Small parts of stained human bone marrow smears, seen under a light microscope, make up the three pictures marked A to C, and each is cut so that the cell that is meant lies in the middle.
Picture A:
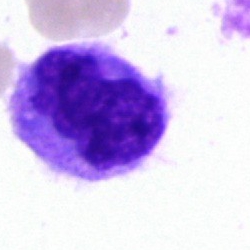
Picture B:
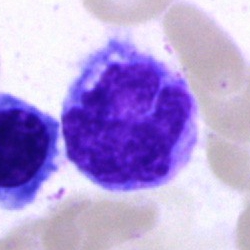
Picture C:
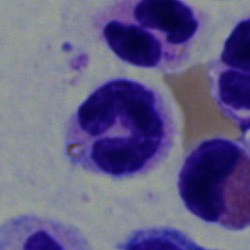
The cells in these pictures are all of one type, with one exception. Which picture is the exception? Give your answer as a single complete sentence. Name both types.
All pictures except C show monocytes; picture C shows a band neutrophil.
